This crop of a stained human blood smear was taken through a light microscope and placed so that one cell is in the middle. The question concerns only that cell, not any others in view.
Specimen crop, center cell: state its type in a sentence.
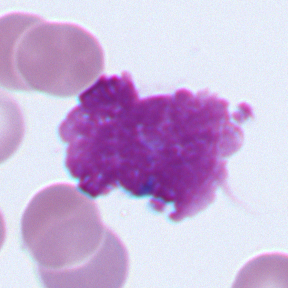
The cell of interest, in the center, is a smudge cell.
